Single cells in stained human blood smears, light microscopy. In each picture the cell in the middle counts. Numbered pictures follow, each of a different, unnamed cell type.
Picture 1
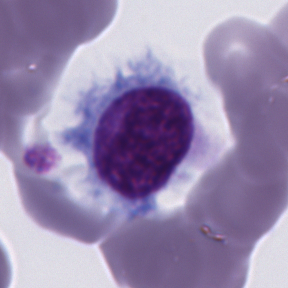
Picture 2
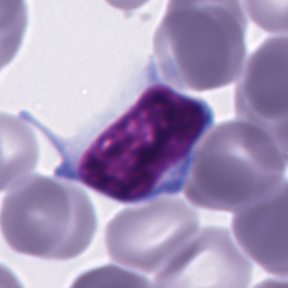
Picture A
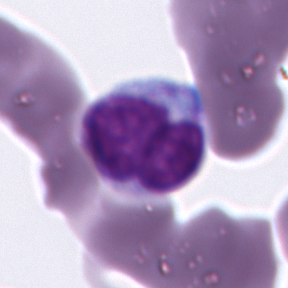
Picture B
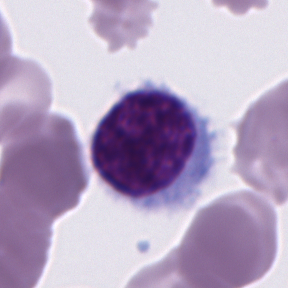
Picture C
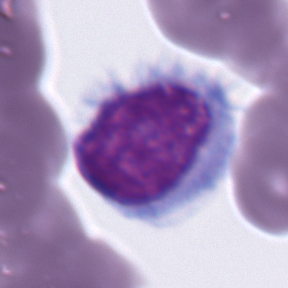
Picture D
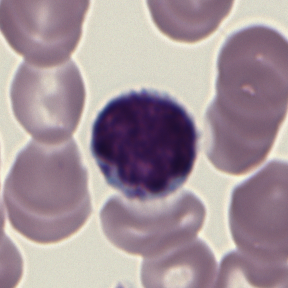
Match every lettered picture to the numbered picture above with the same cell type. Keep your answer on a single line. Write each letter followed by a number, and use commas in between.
A 2, B 1, C 1, D 2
